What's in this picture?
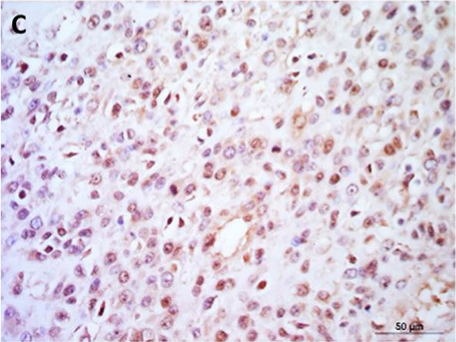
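This is a densely cellular tumour of large, round to polygonal malignant cells packed closely with little matrix between them. The cells vary in size and shape. Their nuclei are large, round to oval, with open chromatin and often a distinct nucleolus; many nuclei are stained brown, while others are blue from the counterstain. The cytoplasm is moderate in amount and pale to light brown, with a few cells showing stronger brown cytoplasm. Small empty slit-like or round spaces, some lined by flattened cells, are scattered among the tumour cells.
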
